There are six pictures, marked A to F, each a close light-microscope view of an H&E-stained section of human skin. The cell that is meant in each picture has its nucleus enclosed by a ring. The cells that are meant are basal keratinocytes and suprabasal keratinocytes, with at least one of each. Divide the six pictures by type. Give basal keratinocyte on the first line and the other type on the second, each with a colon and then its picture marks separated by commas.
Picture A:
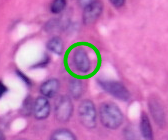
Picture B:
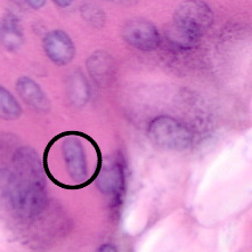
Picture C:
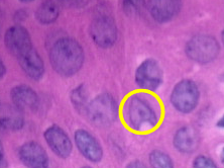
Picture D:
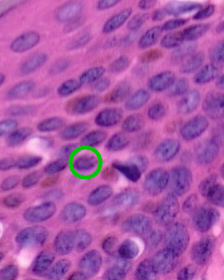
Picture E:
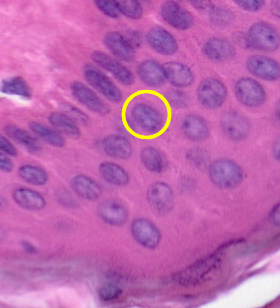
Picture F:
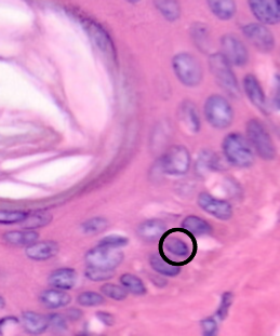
basal keratinocyte: A, D, F
suprabasal keratinocyte: B, C, E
